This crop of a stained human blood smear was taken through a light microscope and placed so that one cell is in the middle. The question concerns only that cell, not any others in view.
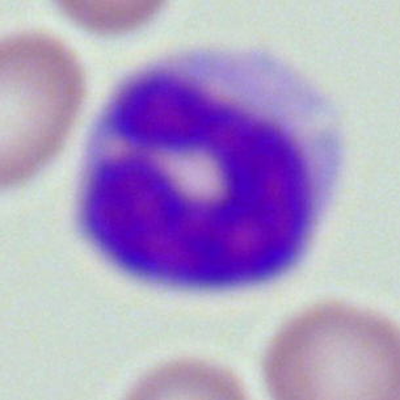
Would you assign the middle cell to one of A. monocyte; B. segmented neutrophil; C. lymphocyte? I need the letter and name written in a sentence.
Answer key: option A, the middle cell being a monocyte.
